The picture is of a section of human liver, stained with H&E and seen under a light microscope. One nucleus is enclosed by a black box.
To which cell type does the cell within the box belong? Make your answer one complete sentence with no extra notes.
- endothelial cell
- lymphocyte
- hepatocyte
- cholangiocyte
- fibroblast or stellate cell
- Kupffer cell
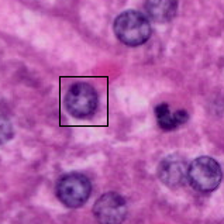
For the purposes of cell typing, the cell within the box is categorized as a hepatocyte.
